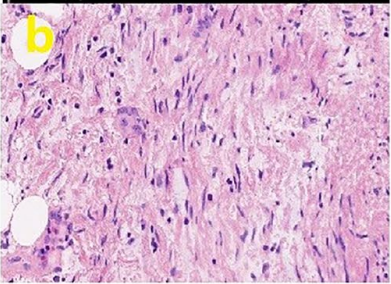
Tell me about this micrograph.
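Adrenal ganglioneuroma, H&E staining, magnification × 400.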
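The background is a loose, pale pink, fibrillary stroma of wavy strands running in bundles. Thin, elongated and wavy nuclei lie along these strands. Here and there a larger cell with more abundant pink cytoplasm sits among the fibres. One or two small empty round spaces appear near the edge of the field.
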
